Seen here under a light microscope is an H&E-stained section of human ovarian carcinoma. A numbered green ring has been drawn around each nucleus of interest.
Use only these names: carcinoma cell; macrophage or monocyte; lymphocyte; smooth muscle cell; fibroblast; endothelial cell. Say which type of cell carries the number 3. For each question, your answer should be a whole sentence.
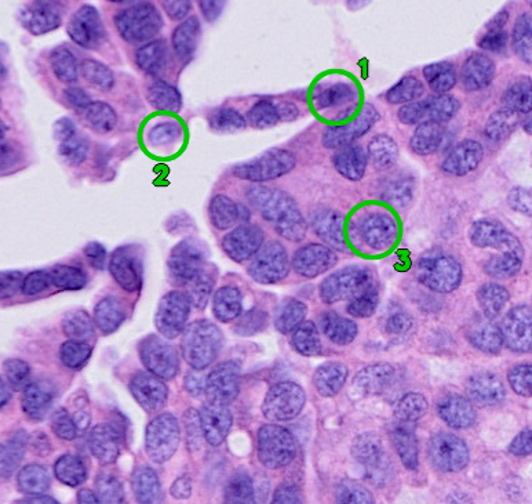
Nucleus 3 in this section belongs to a carcinoma cell.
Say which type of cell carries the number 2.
The cell that carries the label 2 is a macrophage or monocyte.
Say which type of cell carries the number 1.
The cell referred to as 1 is a carcinoma cell.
